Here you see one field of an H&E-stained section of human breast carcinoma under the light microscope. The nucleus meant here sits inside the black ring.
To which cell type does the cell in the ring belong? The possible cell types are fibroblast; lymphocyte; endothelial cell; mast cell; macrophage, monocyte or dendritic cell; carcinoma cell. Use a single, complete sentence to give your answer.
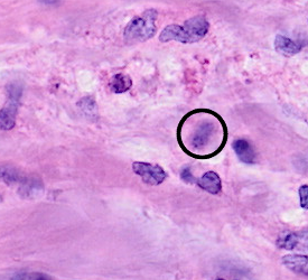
The expected answer is simply that the cell in the ring is a mast cell.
